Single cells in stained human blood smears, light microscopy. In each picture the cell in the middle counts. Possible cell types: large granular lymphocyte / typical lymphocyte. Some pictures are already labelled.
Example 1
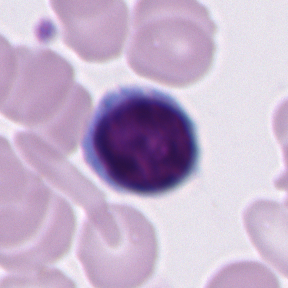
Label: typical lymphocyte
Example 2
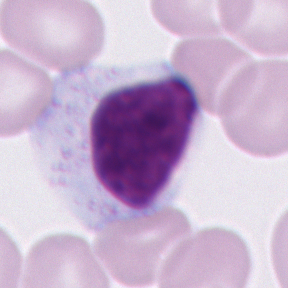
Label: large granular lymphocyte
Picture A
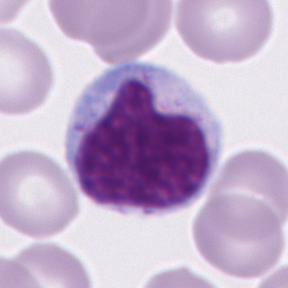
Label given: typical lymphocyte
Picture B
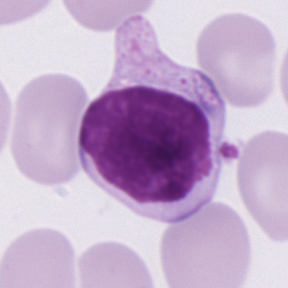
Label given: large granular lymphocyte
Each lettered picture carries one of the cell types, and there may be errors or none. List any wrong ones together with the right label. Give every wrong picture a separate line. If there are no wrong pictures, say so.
A is labelled typical lymphocyte; correct label: large granular lymphocyte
